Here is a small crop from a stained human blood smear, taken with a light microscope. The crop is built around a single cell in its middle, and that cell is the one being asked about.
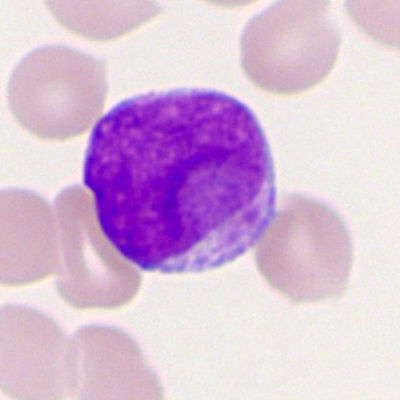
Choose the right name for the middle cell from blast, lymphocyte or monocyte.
blast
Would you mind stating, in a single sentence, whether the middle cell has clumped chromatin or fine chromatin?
Chromatin texture is fine, and coarse clumps are absent.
